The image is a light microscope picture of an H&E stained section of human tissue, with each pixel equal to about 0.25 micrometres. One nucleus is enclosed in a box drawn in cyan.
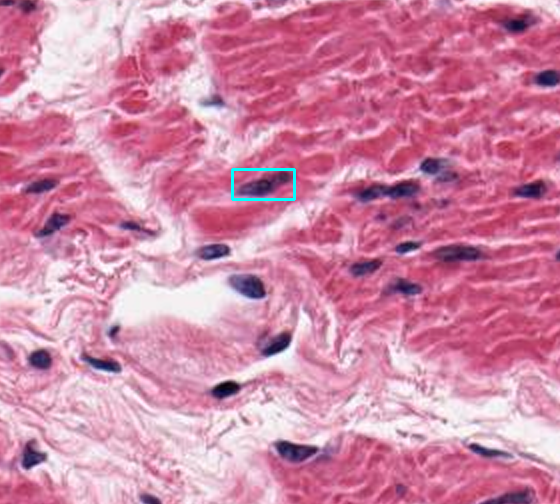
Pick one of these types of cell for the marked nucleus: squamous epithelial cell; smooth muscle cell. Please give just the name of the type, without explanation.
smooth muscle cell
